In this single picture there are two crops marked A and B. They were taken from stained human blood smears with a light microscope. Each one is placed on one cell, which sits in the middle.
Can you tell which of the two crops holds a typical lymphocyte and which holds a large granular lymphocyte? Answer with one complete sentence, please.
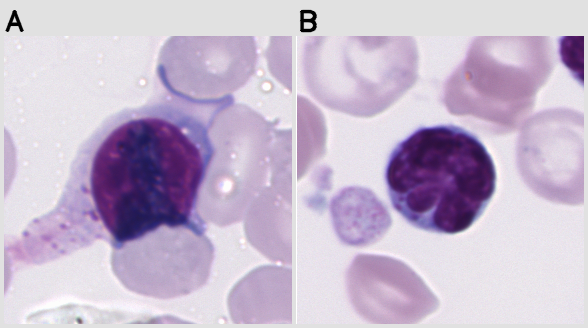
Among the crops, crop A is a large granular lymphocyte and crop B is a typical lymphocyte.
